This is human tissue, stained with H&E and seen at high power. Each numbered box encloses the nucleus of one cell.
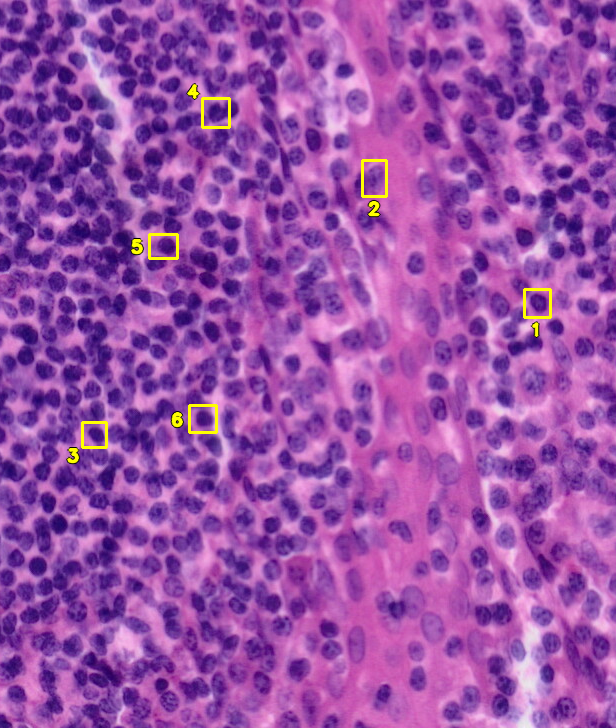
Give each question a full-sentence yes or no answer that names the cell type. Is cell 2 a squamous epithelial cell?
Yes, so the cell at label 2 is a squamous epithelial cell.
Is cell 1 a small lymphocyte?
No, the correct answer for cell 1 is a plasma cell, not a small lymphocyte.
